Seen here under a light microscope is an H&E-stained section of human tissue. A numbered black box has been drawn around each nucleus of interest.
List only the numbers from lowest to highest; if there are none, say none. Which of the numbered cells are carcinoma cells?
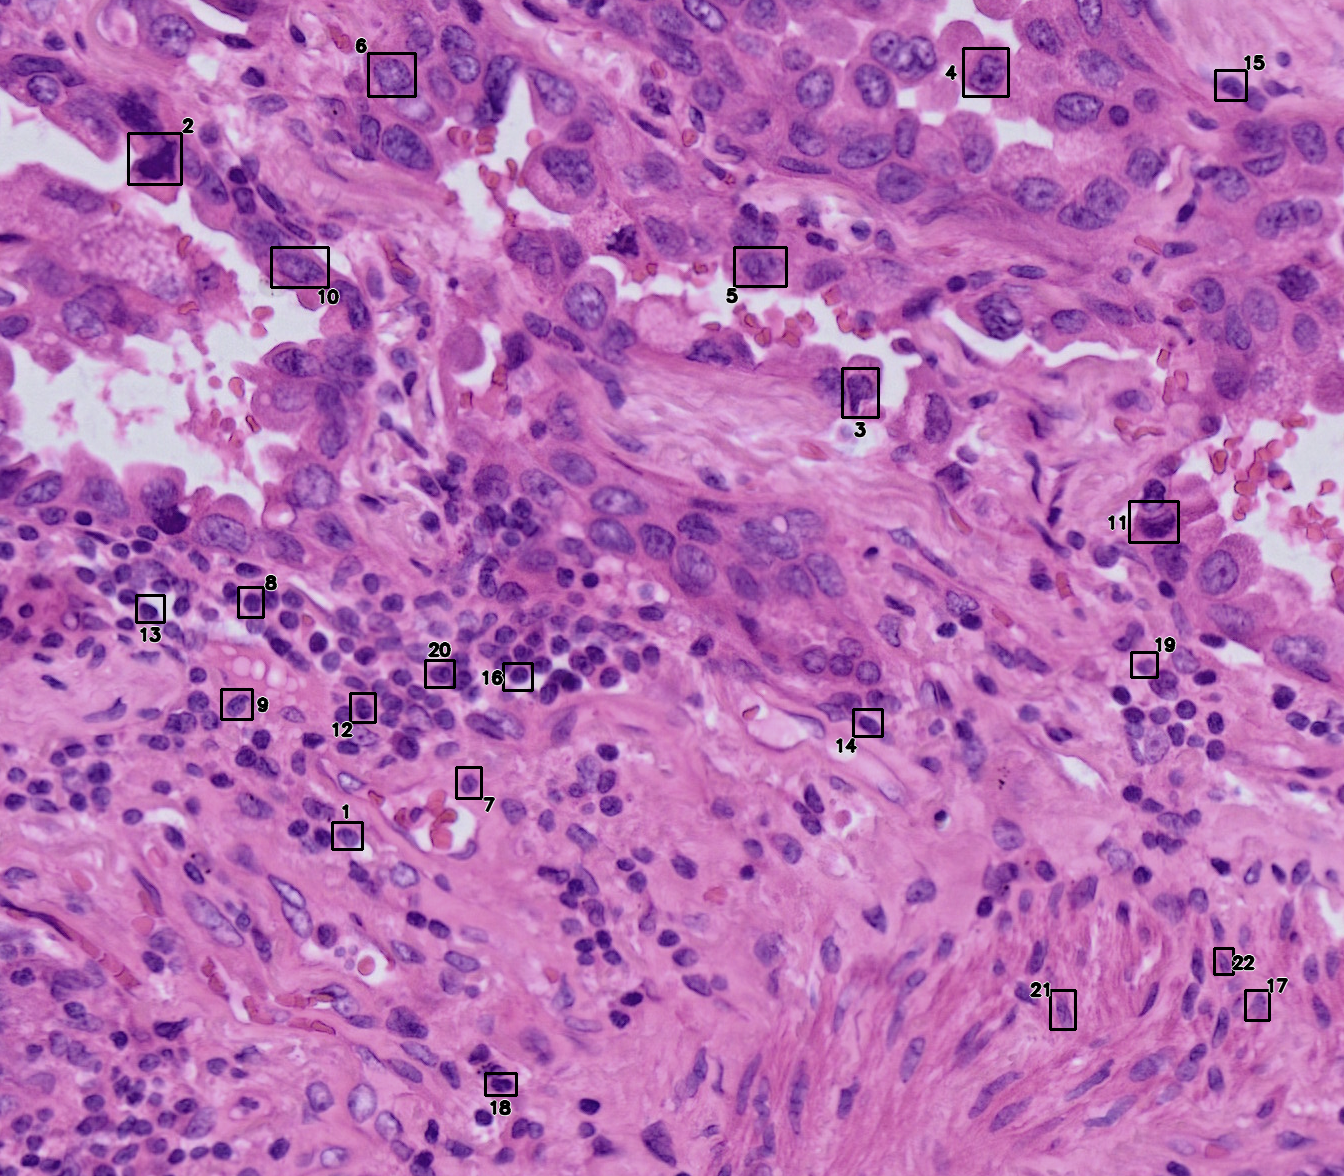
2, 3, 4, 5, 6, 10, 11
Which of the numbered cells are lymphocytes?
1, 7, 8, 9, 12, 13, 14, 15, 16, 18, 19, 20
